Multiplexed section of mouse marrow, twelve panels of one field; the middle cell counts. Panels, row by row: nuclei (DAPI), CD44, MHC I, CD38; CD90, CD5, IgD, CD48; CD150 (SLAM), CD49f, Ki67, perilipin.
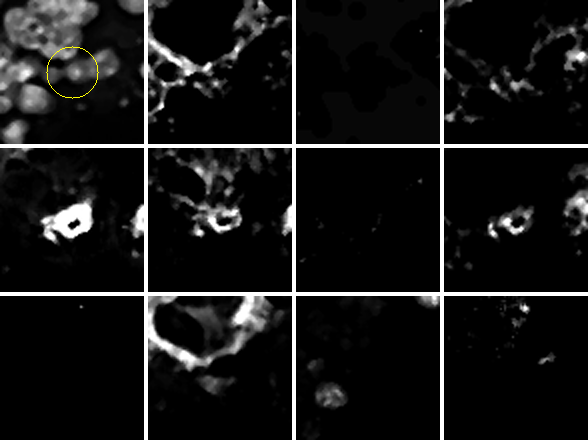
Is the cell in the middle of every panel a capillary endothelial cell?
No, it is a T cell.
